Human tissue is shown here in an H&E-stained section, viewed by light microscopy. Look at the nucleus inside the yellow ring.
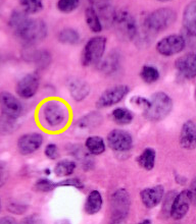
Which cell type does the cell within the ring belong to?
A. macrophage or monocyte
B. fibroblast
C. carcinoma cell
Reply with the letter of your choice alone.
A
